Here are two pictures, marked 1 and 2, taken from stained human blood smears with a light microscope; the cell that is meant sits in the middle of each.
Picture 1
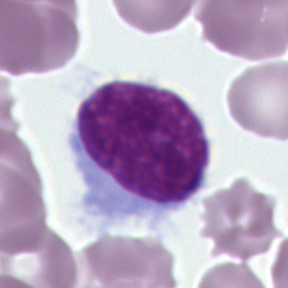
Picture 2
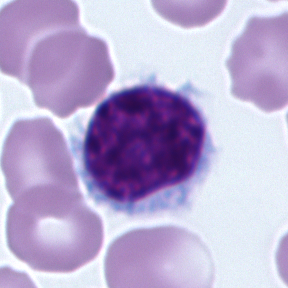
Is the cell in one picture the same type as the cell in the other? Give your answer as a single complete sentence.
Yes, both are hairy cells.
